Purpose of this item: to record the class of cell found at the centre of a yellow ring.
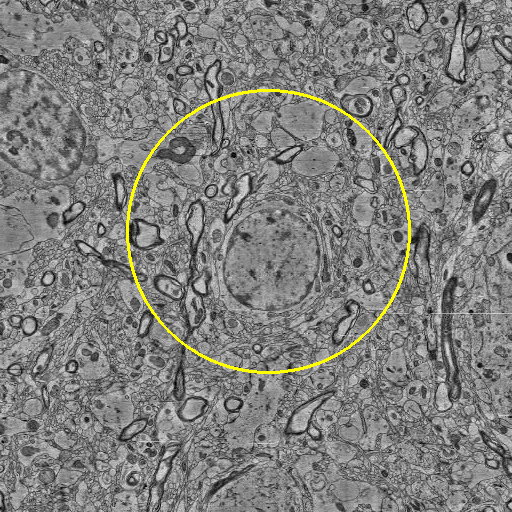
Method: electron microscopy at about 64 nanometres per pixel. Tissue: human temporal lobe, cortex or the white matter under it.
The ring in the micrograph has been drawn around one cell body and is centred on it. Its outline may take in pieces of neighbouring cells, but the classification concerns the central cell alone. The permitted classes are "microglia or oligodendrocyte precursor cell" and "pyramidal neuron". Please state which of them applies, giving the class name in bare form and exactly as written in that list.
microglia or oligodendrocyte precursor cell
